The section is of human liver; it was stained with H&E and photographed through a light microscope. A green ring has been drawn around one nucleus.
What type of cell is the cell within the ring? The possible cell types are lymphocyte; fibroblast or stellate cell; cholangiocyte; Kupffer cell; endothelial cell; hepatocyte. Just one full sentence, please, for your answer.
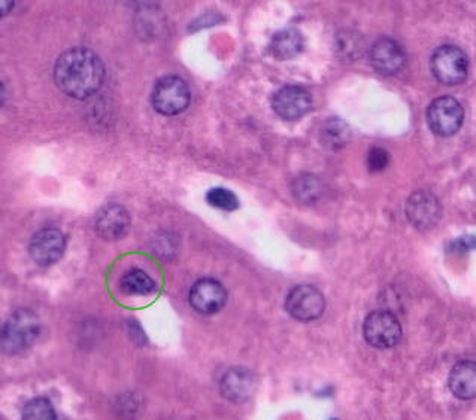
In the context of this tissue, the cell within the ring is a fibroblast or stellate cell.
